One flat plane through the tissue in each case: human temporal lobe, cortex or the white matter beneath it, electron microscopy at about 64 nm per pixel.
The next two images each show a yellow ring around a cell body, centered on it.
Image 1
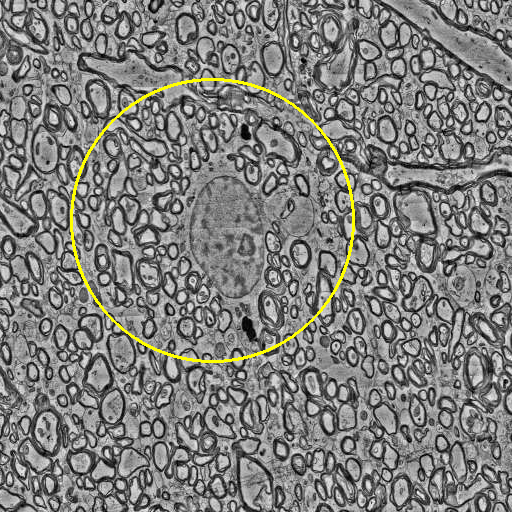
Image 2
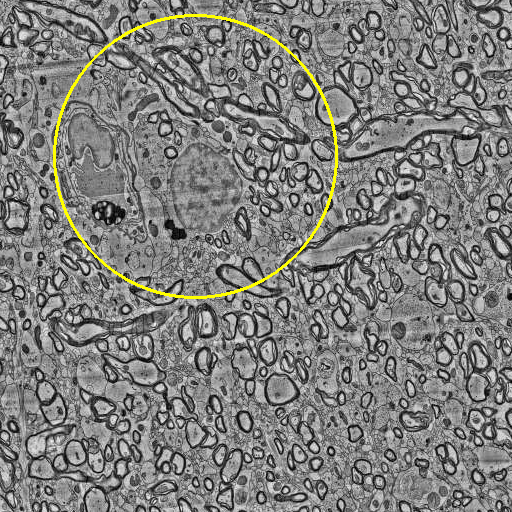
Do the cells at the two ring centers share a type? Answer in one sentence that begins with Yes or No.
Yes, across the two images the cells at the ring centers share one type.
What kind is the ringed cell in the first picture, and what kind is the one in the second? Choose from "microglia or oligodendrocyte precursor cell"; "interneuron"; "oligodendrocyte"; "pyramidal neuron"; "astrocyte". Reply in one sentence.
The cell at the ring centre is an oligodendrocyte in both pictures.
